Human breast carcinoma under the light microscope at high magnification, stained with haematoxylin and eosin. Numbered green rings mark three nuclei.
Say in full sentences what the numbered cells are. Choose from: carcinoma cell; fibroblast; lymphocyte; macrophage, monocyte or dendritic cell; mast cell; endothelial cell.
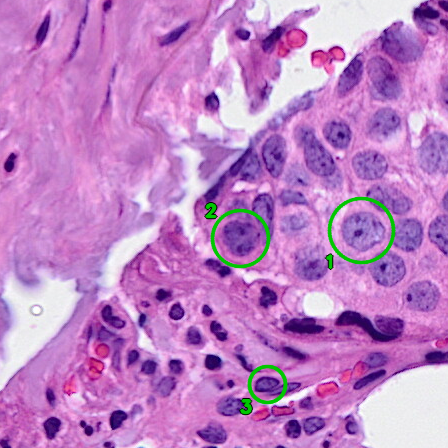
Cell 1 is a carcinoma cell, cell 2 is a carcinoma cell and cell 3 is an endothelial cell.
